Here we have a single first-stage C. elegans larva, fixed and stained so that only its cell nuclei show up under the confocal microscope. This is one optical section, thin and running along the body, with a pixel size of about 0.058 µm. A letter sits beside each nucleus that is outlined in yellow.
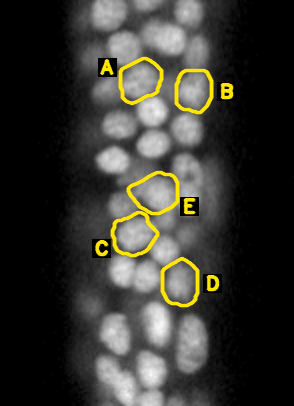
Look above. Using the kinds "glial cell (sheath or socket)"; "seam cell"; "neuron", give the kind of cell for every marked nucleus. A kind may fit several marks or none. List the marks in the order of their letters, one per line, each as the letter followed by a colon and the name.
A: neuron
B: neuron
C: neuron
D: glial cell (sheath or socket)
E: glial cell (sheath or socket)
